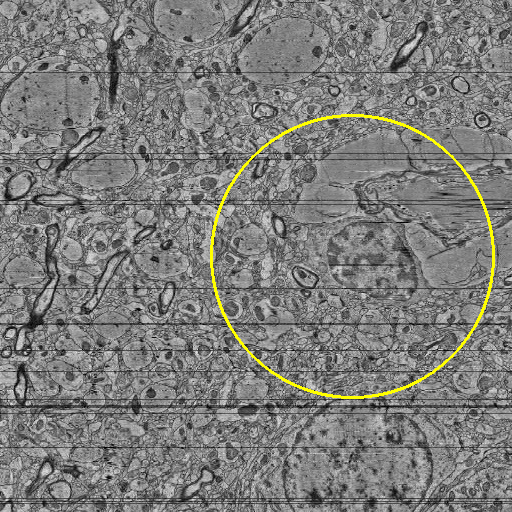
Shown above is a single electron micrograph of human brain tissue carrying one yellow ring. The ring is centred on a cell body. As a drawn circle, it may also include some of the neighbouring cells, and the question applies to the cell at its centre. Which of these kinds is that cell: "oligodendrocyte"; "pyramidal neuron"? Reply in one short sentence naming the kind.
The cell marked by the ring is an oligodendrocyte.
